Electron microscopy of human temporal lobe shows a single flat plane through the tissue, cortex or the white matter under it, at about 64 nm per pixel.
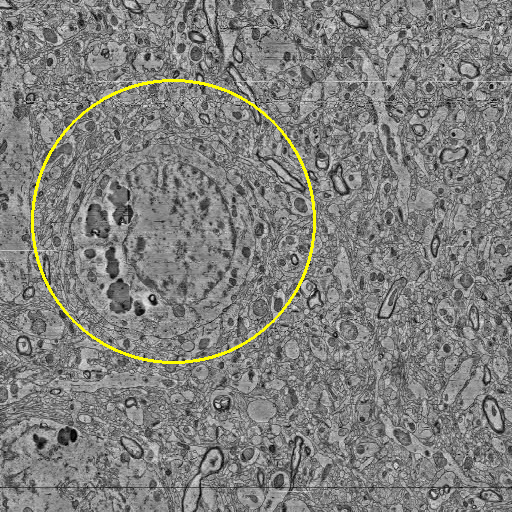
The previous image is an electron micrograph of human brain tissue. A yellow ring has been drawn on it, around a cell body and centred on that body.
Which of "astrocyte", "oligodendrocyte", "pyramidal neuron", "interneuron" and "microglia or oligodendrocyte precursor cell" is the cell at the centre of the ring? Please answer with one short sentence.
The cell body at the centre of the ring belongs to an interneuron.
